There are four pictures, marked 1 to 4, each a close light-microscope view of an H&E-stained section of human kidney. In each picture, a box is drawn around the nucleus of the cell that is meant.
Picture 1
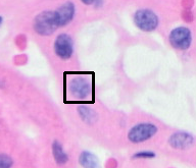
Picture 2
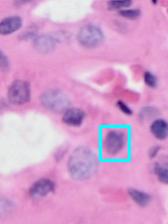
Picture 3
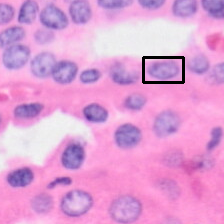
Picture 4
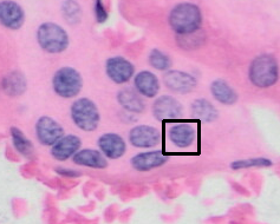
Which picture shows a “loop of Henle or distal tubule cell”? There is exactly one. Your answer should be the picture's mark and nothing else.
2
